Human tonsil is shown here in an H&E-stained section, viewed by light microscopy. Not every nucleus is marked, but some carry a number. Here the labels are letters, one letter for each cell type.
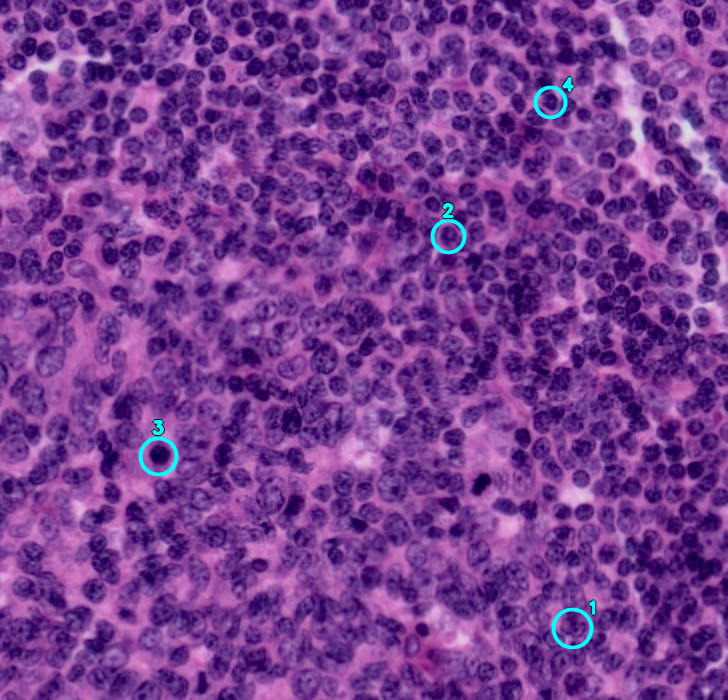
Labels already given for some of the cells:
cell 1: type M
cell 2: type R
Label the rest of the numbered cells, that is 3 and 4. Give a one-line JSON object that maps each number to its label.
{"3": "type M", "4": "type R"}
